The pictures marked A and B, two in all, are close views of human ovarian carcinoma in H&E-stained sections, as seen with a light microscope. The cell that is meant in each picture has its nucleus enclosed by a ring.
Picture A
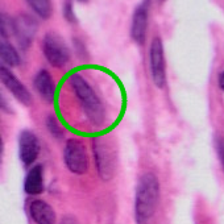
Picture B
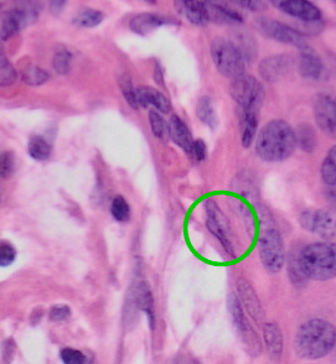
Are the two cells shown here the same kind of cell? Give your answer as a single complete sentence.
Yes, both are endothelial cells.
